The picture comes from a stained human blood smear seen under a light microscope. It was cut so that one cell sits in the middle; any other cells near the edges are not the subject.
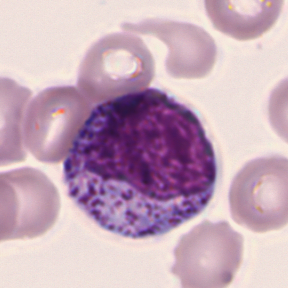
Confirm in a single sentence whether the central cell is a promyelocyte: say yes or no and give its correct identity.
No, the cell sitting in the middle is a myelocyte, and it is not a promyelocyte.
